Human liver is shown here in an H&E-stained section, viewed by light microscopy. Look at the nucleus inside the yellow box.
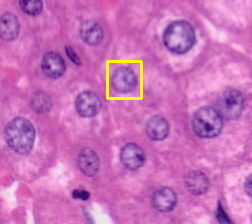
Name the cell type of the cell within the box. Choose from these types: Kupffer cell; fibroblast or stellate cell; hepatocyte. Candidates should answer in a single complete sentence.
At the level of cell identity, the cell within the box is a hepatocyte.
